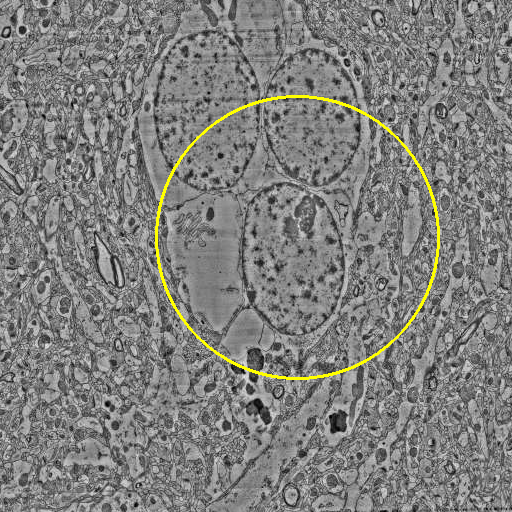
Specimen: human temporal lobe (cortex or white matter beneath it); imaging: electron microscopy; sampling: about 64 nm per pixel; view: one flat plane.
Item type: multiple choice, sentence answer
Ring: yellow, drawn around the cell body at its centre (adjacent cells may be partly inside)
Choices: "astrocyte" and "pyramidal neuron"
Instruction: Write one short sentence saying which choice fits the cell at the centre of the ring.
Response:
This ring is drawn around an astrocyte.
